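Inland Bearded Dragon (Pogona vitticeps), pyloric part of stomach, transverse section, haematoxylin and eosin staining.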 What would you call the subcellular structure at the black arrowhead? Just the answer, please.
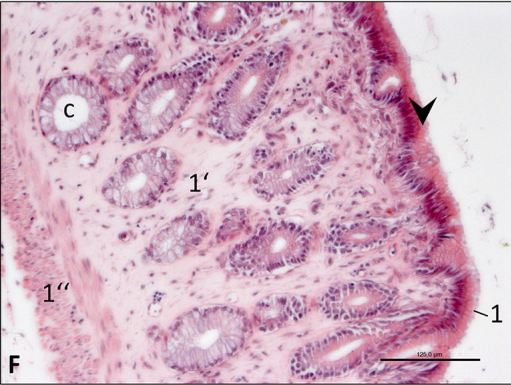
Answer: Epithelial apical cytoplasm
